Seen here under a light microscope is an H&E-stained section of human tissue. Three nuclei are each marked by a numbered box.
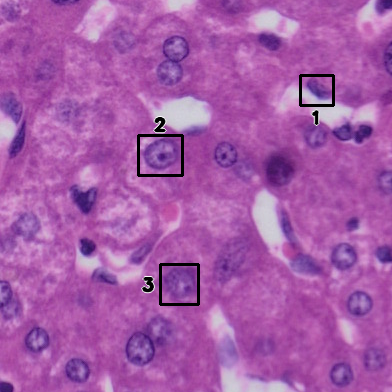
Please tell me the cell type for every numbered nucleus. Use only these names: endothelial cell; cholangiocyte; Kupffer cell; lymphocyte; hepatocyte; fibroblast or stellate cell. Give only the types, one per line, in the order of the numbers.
endothelial cell
hepatocyte
hepatocyte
